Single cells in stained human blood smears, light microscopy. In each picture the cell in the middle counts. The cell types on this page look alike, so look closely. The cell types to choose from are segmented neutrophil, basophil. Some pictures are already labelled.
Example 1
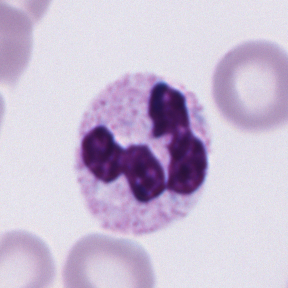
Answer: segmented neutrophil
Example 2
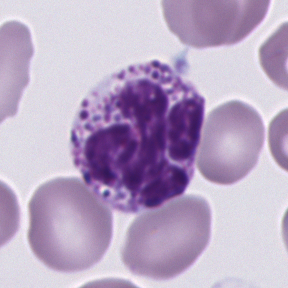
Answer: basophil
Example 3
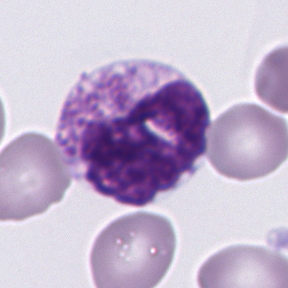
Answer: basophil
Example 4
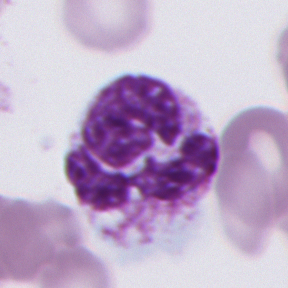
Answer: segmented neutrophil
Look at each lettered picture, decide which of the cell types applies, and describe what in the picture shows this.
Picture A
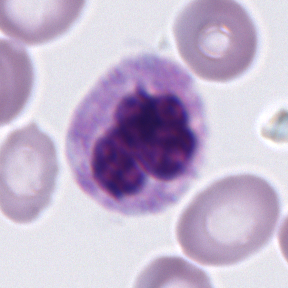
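segmented neutrophil. Fine lilac granules are scattered through the cytoplasm.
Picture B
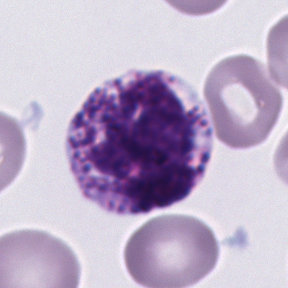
basophil. The dark purple nucleus fills most of the cell.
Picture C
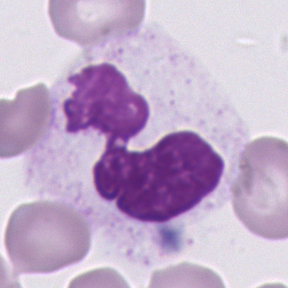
segmented neutrophil. The cytoplasm is plentiful and forms a broad zone around the nucleus.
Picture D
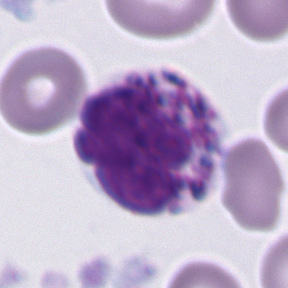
basophil. The nucleus fills most of the cell and lies toward its left side.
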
